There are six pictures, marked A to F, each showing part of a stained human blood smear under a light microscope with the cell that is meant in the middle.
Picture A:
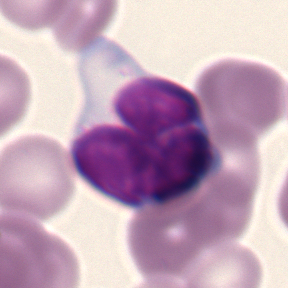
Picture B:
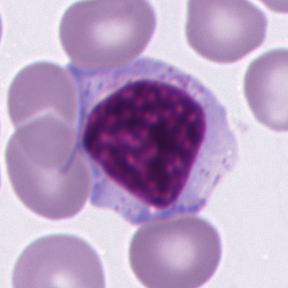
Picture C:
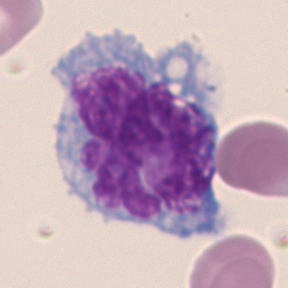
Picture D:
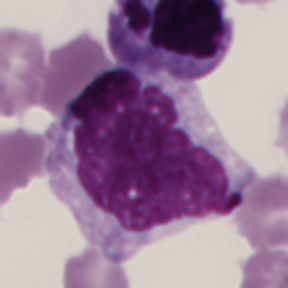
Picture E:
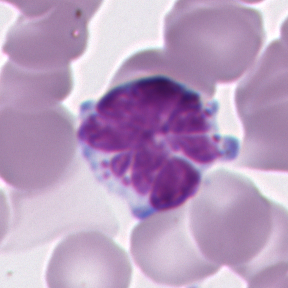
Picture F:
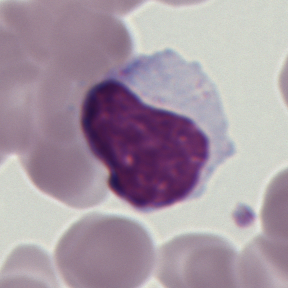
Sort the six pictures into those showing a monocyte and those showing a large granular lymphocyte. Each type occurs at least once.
A: large granular lymphocyte
B: large granular lymphocyte
C: monocyte
D: monocyte
E: large granular lymphocyte
F: large granular lymphocyte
